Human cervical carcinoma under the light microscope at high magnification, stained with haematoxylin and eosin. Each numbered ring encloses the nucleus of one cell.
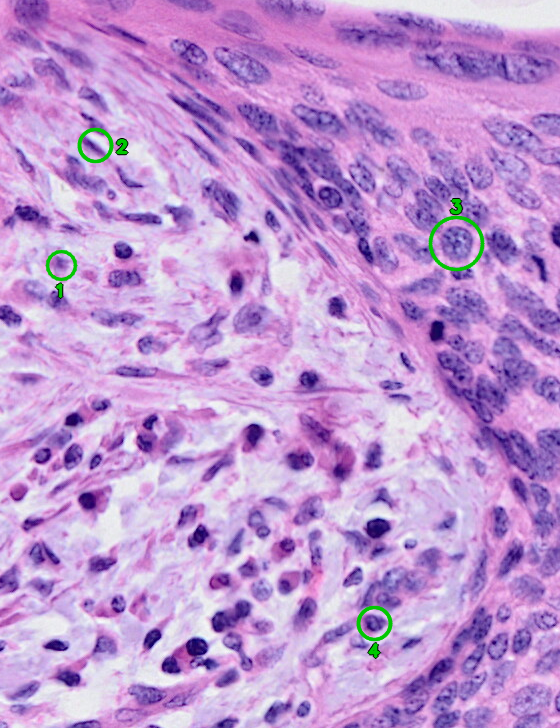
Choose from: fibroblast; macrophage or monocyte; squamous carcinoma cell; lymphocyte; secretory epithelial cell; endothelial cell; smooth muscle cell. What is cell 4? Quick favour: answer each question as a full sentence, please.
Cell 4 of the marked set is a lymphocyte.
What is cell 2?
The cell assigned the number 2 is a fibroblast.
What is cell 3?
The cell marked with the number 3 is a squamous carcinoma cell.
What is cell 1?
It is as a fibroblast that the cell numbered 1 is identified.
